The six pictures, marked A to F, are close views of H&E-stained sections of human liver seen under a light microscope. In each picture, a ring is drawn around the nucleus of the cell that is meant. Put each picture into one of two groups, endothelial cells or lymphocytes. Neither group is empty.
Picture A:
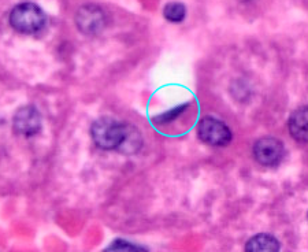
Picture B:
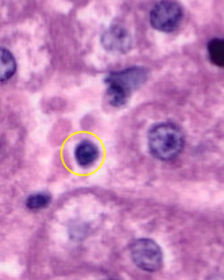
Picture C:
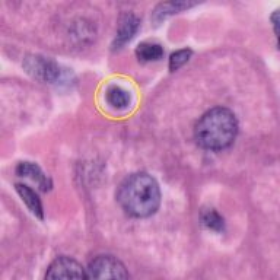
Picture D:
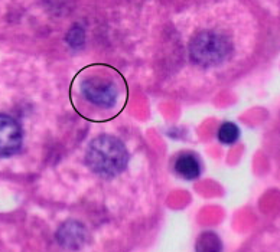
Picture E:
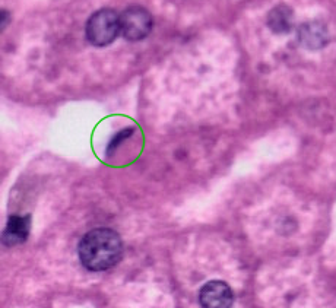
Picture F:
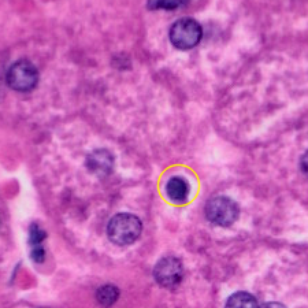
A: endothelial cell
B: lymphocyte
C: lymphocyte
D: endothelial cell
E: endothelial cell
F: lymphocyte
